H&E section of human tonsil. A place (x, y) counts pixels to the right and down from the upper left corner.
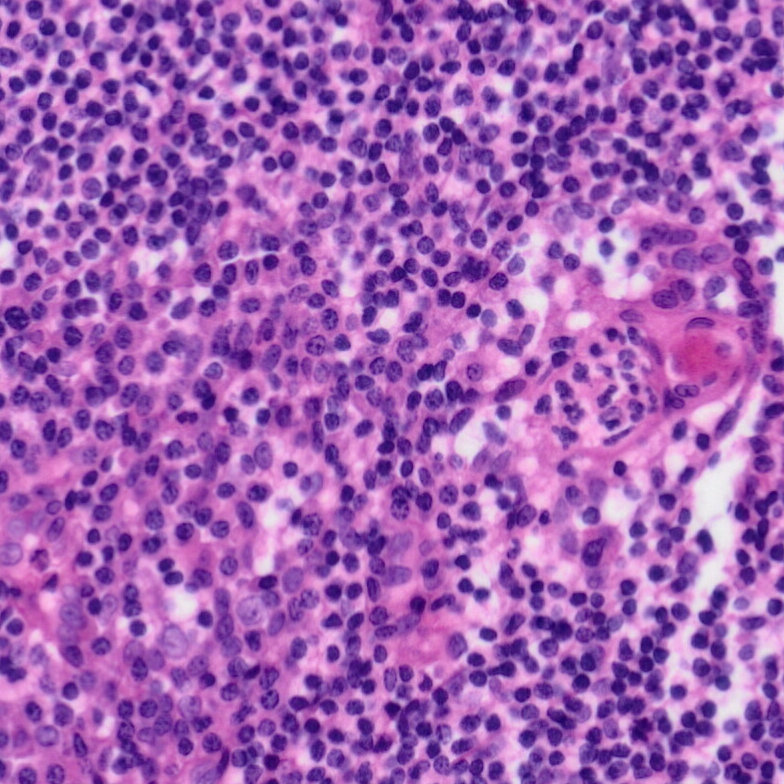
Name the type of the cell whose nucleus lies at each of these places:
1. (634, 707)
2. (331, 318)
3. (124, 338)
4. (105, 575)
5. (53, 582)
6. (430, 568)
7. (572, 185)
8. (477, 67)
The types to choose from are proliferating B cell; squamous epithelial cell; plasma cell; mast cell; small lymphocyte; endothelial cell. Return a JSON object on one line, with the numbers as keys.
{"1": "small lymphocyte", "2": "plasma cell", "3": "plasma cell", "4": "plasma cell", "5": "endothelial cell", "6": "endothelial cell", "7": "plasma cell", "8": "small lymphocyte"}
